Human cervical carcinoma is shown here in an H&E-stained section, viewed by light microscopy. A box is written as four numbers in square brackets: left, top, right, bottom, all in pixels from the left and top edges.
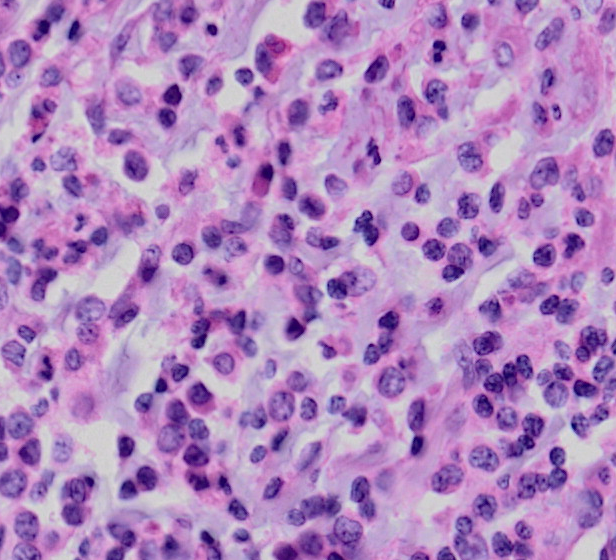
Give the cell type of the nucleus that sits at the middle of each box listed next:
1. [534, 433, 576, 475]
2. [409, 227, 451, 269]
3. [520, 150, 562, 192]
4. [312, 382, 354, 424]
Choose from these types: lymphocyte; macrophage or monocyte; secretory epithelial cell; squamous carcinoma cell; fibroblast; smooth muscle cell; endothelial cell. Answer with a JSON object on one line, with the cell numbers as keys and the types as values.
{"1": "lymphocyte", "2": "lymphocyte", "3": "macrophage or monocyte", "4": "lymphocyte"}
